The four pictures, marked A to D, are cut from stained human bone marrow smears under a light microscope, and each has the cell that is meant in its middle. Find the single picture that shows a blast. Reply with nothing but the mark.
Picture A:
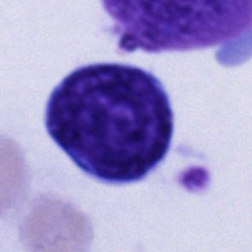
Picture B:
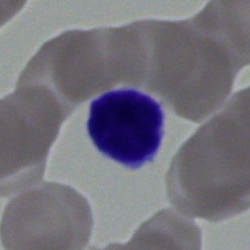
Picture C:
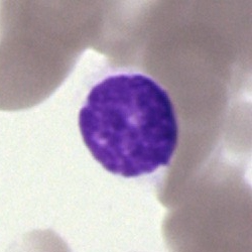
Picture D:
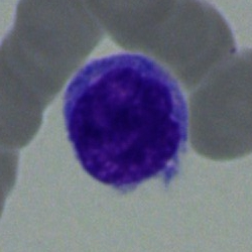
A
